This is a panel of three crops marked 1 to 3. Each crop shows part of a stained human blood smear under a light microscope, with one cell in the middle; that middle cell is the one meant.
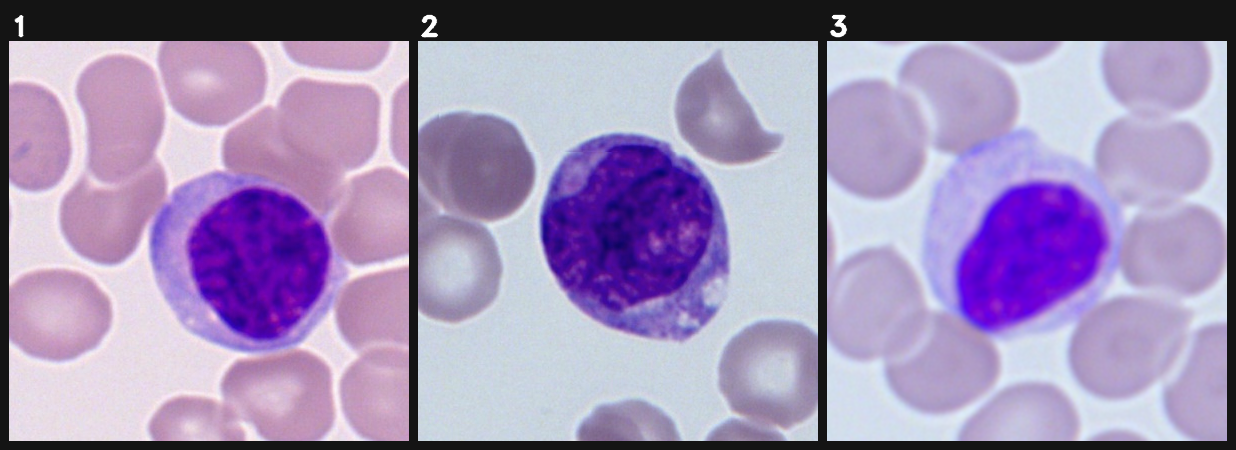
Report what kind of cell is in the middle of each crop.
1: lymphocyte
2: monocyte
3: lymphocyte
